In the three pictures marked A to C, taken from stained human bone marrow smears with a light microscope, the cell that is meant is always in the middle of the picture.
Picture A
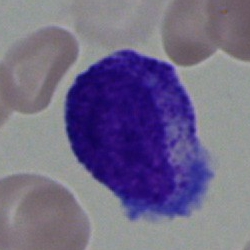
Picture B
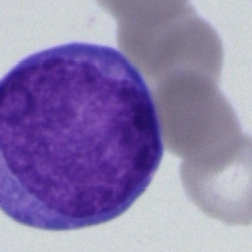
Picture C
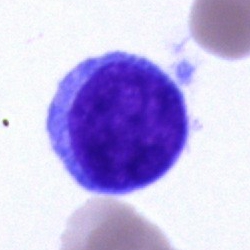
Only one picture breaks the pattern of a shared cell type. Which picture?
A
